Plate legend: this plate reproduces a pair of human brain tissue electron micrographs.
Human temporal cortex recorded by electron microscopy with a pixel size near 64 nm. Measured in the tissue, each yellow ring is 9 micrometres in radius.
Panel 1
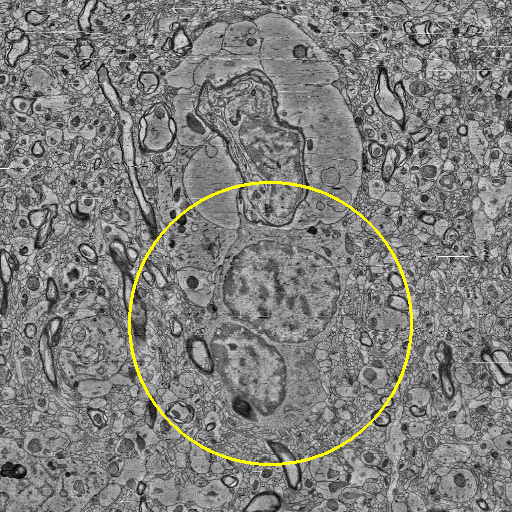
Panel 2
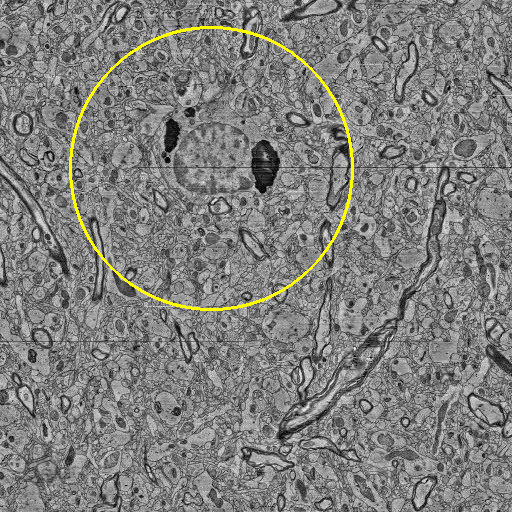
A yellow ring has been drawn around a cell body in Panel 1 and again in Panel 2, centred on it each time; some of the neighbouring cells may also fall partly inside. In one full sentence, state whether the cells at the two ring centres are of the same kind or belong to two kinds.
The ring-centred cells of Panel 1 and Panel 2 are of the same kind.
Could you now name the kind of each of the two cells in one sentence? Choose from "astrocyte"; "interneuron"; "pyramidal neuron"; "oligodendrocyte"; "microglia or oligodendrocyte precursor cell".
Both rings mark an oligodendrocyte, one in each picture.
